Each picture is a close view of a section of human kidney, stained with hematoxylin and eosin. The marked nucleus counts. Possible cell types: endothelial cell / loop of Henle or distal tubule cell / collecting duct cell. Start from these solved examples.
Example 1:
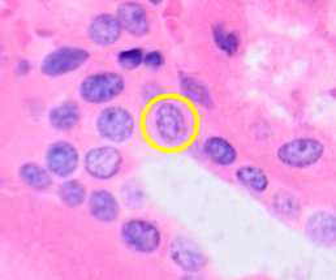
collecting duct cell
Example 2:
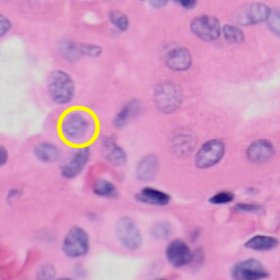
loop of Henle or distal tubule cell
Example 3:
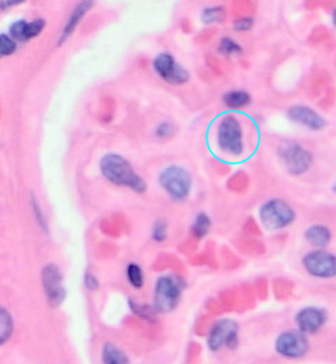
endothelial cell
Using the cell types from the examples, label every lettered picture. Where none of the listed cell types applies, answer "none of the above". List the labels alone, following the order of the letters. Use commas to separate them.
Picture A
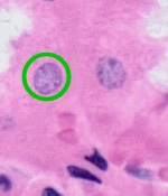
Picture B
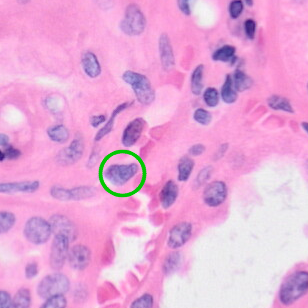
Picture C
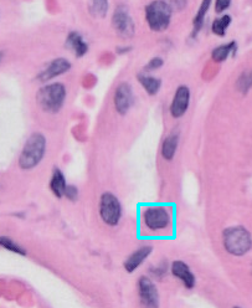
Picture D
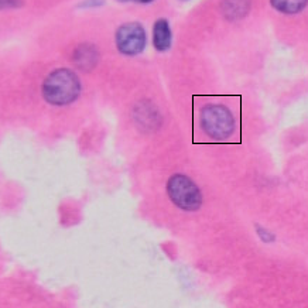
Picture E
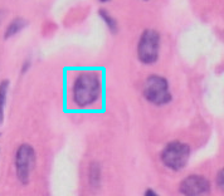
none of the above, endothelial cell, collecting duct cell, none of the above, none of the above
